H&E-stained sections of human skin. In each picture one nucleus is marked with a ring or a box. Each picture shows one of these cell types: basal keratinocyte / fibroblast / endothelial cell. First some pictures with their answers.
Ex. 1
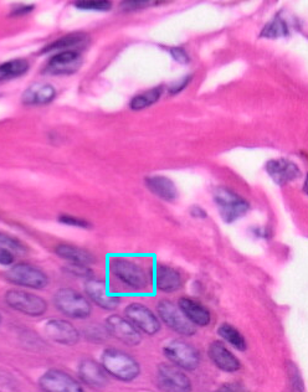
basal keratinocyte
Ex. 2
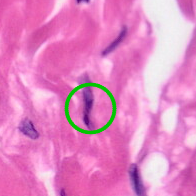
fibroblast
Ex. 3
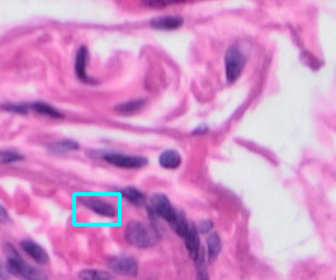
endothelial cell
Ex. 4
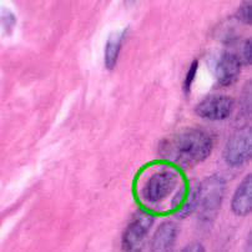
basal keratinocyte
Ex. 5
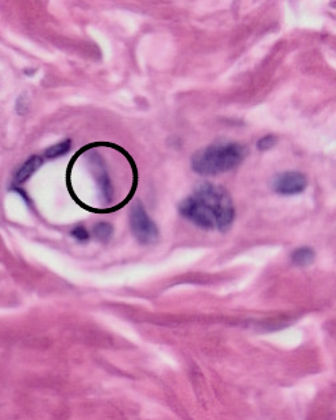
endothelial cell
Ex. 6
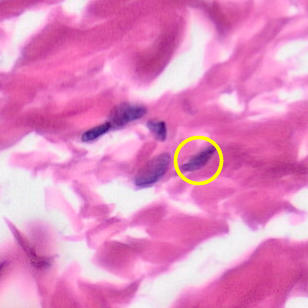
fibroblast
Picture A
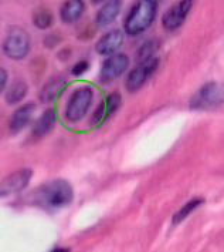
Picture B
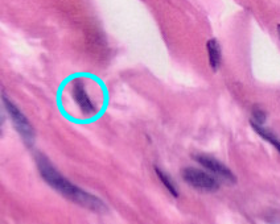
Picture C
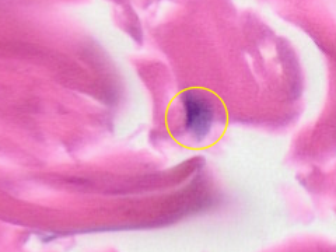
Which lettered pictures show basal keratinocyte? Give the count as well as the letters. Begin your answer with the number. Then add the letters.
1, namely A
